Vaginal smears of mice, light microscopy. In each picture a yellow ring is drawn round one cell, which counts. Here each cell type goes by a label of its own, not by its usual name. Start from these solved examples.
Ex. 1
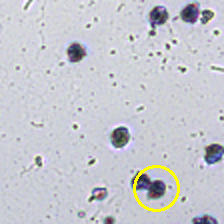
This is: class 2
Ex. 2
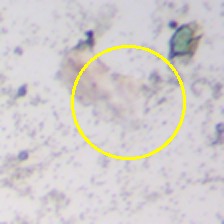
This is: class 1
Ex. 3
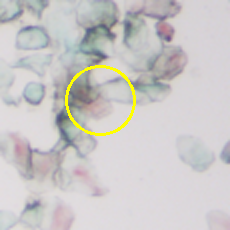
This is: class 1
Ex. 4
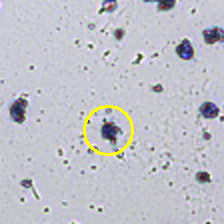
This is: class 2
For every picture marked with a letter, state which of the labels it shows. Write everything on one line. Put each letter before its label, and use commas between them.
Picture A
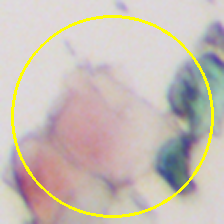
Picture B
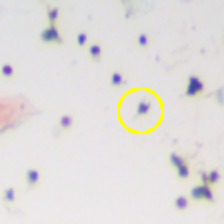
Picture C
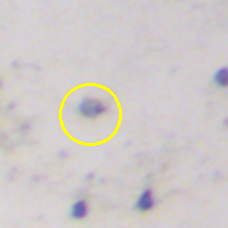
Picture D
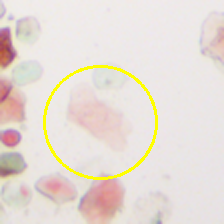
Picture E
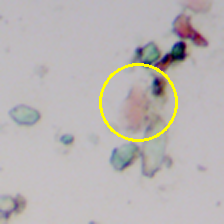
A class 1, B class 2, C class 2, D class 1, E class 1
